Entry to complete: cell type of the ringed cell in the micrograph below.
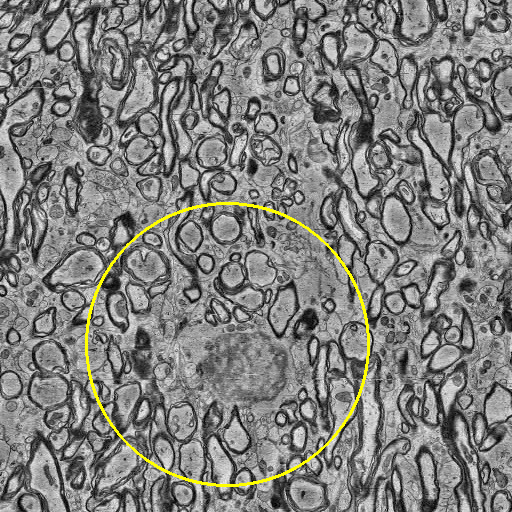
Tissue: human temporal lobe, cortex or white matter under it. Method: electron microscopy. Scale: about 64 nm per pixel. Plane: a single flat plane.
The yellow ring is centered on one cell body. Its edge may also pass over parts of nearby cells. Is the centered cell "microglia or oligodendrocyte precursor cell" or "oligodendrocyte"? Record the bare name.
oligodendrocyte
